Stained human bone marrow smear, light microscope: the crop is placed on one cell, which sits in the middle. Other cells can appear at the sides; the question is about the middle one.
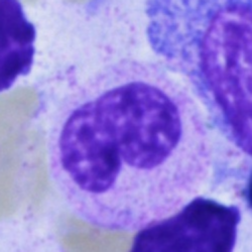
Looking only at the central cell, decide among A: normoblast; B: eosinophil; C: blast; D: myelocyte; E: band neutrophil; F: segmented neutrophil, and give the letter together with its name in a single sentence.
According to option E, which is correct, the cell in the middle is a band neutrophil.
